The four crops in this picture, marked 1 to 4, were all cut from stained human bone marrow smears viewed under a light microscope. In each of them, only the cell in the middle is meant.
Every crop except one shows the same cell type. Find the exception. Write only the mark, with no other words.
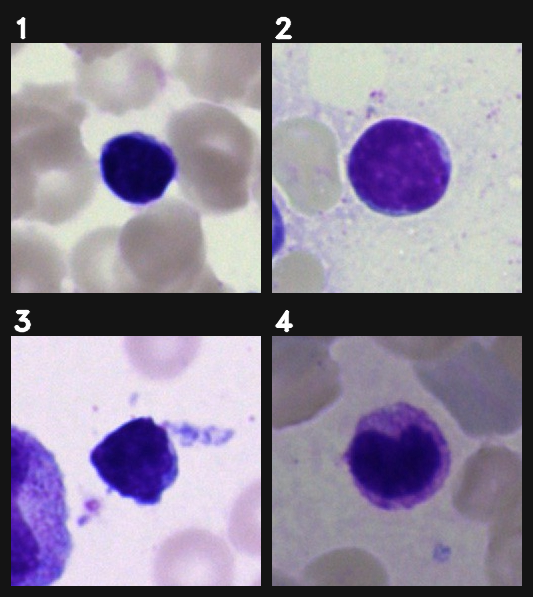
4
